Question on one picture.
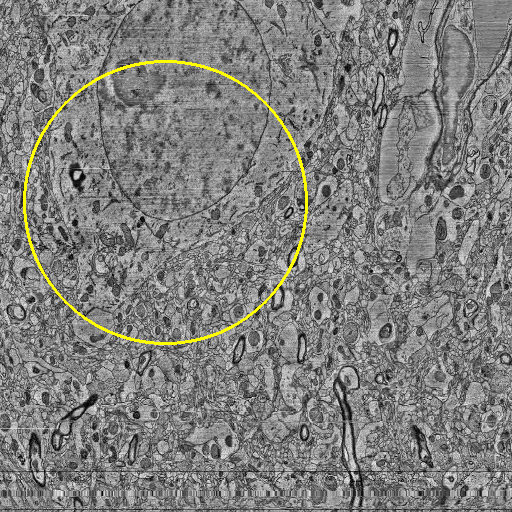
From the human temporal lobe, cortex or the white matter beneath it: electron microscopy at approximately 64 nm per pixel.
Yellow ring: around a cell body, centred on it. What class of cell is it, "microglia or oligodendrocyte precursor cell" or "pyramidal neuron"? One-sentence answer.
This is a pyramidal neuron, the cell the ring is centred on.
